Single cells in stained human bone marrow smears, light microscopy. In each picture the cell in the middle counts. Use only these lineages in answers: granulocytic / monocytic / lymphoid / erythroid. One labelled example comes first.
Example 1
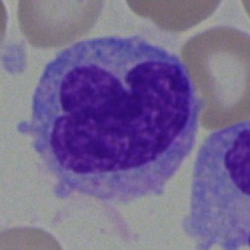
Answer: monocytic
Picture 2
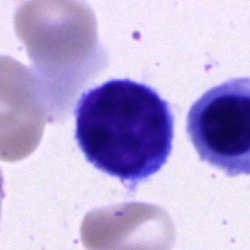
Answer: lymphoid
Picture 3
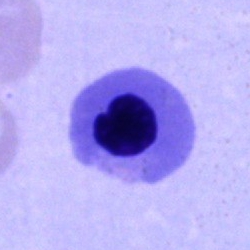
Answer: erythroid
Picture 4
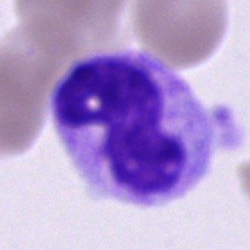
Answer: granulocytic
